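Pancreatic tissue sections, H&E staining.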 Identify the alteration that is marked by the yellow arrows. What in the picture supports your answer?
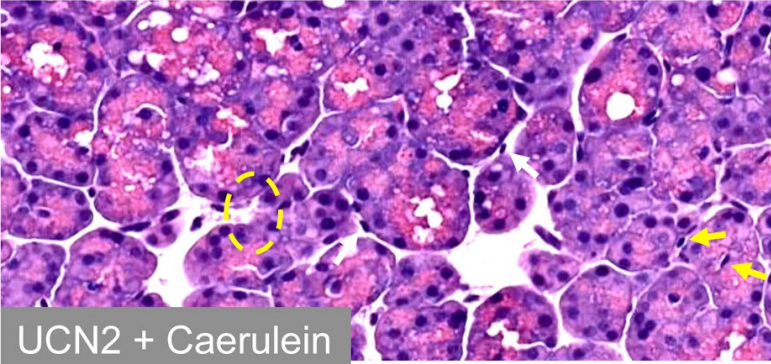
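The arrows point to small, dark nuclei in the narrow spaces between acini. These nuclei are smaller and darker than the surrounding acinar nuclei.
Inflammatory cell infiltrates.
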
